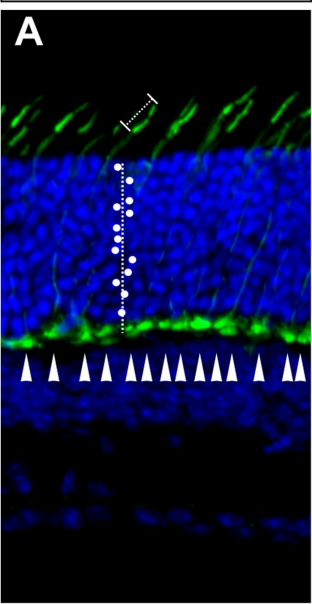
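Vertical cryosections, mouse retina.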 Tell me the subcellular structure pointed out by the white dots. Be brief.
Rod and cone photoreceptor nuclei.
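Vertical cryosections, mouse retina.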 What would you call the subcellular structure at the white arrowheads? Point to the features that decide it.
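Cone photoreceptor terminals. The arrowheads sit just below a thin bright green band at the bottom of the thick nuclear layer. The green band is made of small swollen green endings at the bases of thin green fibres running down through the nuclear layer.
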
